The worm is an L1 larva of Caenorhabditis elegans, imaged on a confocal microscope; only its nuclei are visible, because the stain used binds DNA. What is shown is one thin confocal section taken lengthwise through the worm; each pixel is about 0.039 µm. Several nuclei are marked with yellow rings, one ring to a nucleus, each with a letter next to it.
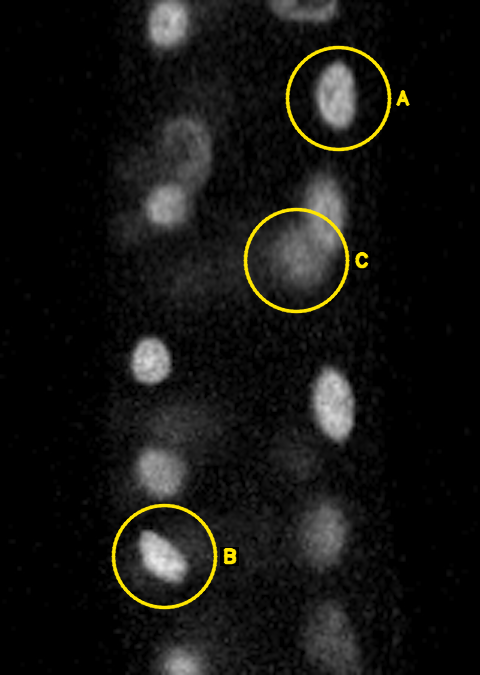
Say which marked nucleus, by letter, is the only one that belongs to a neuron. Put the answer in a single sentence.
It is C that belongs to a neuron.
